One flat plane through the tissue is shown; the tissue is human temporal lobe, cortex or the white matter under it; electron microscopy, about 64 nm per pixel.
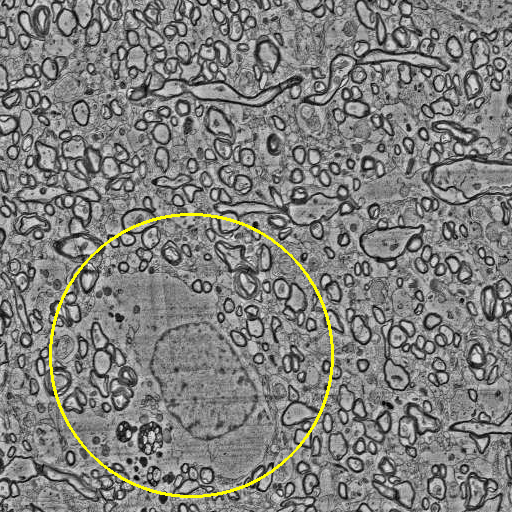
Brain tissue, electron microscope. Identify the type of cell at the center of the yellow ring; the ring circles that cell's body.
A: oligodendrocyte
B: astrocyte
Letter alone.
B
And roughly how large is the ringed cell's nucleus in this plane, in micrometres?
About 8 by 6 micrometers for the nucleus, in this plane.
